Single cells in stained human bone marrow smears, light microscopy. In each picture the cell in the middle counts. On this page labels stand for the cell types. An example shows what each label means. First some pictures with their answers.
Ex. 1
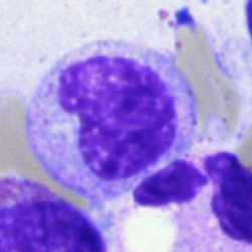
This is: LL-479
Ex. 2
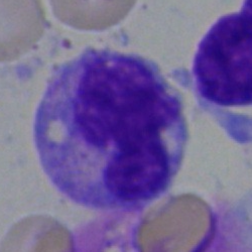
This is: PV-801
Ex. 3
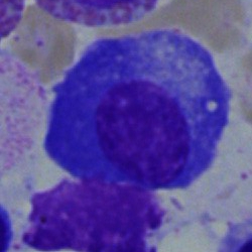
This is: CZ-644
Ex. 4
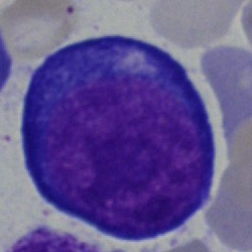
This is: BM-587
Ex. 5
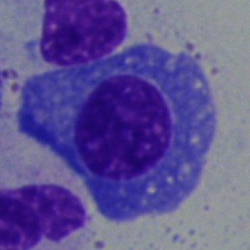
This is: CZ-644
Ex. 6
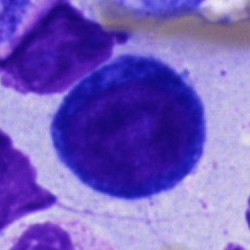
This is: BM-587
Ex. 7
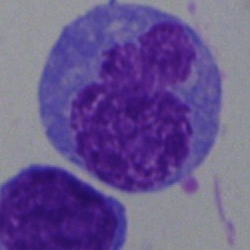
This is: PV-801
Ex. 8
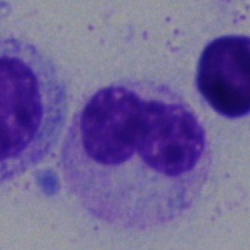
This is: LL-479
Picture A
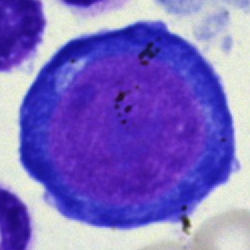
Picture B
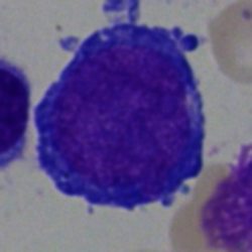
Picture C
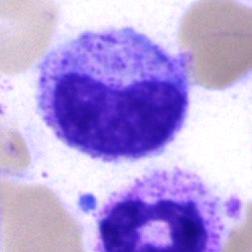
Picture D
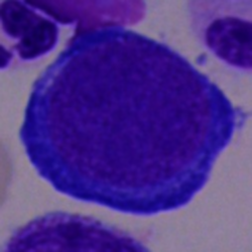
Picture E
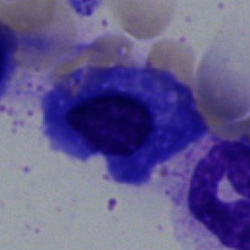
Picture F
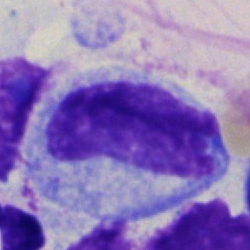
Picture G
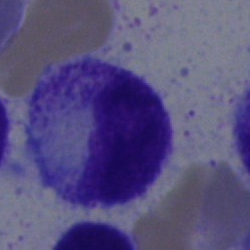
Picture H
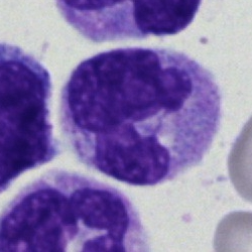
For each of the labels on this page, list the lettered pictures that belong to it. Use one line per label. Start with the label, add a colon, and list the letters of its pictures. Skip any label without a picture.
LL-479: C, F, G
PV-801: H
CZ-644: E
BM-587: A, B, D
